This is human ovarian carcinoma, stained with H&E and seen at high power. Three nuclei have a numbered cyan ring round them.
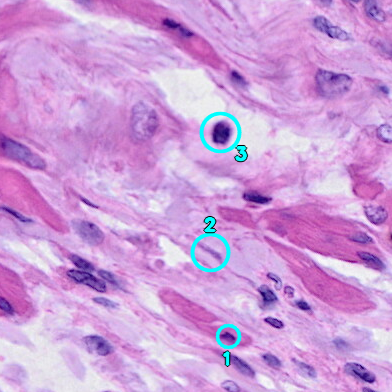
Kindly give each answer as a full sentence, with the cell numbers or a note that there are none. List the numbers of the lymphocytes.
Cell 3 represents a lymphocyte, and no other numbered cell does.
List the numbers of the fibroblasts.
Cell 2 is the only one of the numbered cells that is a fibroblast.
